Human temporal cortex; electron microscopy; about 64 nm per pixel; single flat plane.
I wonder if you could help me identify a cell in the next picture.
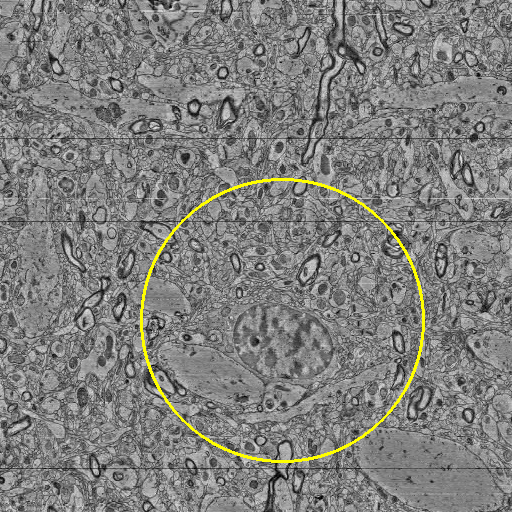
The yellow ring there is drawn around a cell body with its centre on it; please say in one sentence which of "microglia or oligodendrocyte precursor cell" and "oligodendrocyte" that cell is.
The yellow ring is centred on an oligodendrocyte.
